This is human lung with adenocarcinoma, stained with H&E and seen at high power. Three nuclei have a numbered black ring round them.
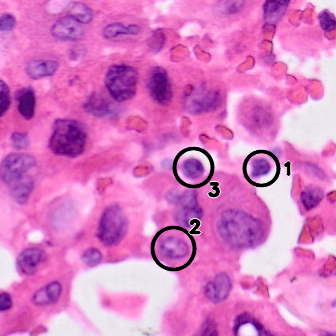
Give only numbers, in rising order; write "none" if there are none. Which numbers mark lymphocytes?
1, 3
